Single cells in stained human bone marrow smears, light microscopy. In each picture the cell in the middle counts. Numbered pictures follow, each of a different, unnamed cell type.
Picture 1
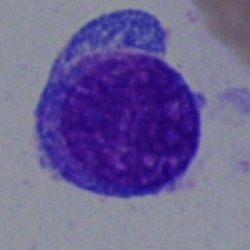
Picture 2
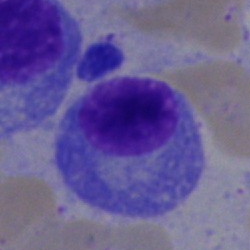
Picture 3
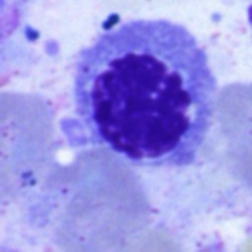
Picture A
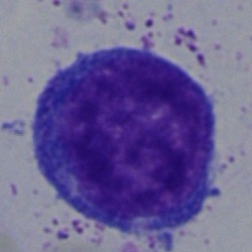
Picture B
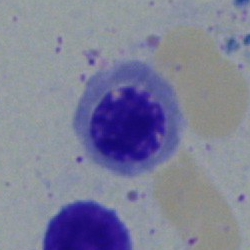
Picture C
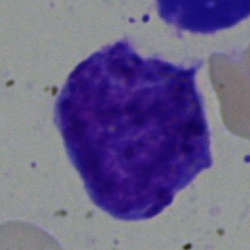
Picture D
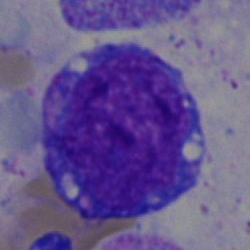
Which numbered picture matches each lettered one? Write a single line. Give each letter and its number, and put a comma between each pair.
A 1, B 3, C 1, D 1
